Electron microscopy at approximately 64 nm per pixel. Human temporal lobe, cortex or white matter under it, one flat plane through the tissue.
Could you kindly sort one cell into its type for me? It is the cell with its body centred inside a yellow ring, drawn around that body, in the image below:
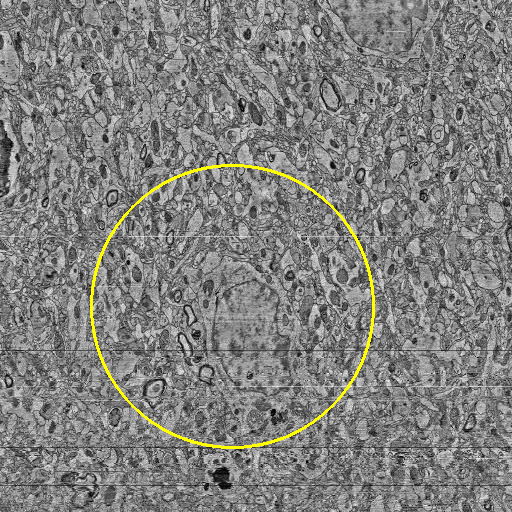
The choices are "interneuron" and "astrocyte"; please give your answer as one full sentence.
The cell whose body lies centred in the yellow ring here is an interneuron.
